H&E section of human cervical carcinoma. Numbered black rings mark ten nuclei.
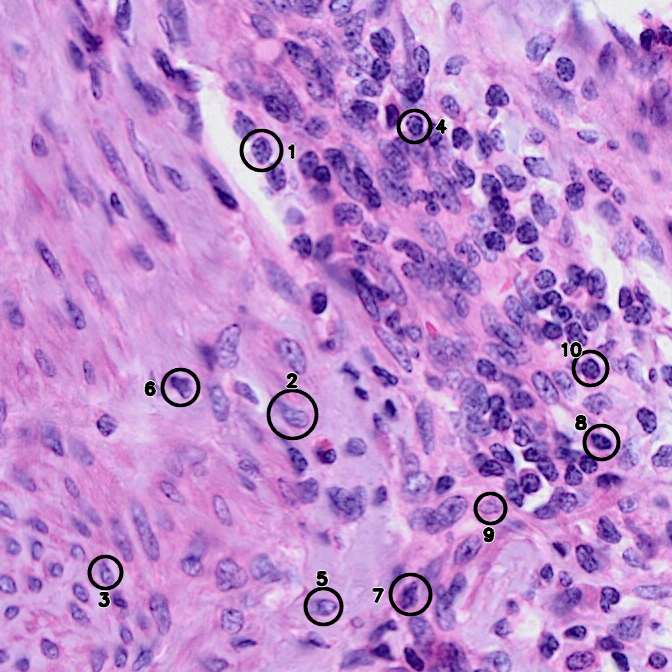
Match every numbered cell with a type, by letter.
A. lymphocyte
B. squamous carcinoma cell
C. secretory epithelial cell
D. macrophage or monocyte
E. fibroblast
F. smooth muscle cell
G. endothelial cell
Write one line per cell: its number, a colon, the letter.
1: A
2: F
3: F
4: A
5: E
6: A
7: A
8: A
9: G
10: A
